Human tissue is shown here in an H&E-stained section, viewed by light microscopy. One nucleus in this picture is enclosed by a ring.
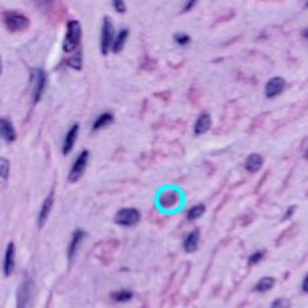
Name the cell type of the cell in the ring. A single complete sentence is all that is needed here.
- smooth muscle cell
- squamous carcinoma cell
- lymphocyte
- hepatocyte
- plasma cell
In short, the cell in the ring on this section is a smooth muscle cell.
